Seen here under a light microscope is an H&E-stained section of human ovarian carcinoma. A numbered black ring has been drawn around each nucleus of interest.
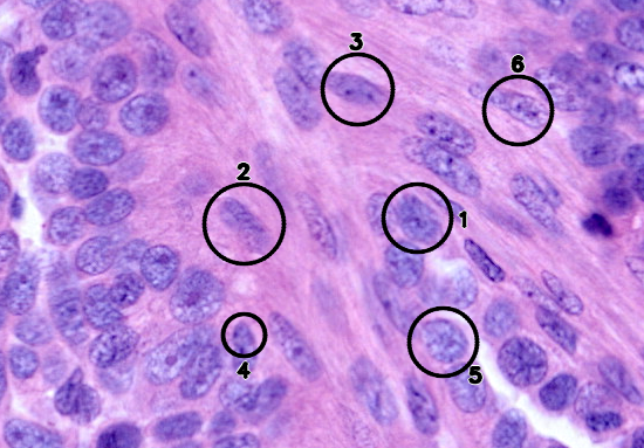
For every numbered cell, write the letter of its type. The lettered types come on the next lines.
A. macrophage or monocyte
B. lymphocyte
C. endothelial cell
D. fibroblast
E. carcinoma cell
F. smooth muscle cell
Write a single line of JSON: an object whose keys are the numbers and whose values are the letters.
{"1": "E", "2": "D", "3": "D", "4": "A", "5": "E", "6": "D"}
